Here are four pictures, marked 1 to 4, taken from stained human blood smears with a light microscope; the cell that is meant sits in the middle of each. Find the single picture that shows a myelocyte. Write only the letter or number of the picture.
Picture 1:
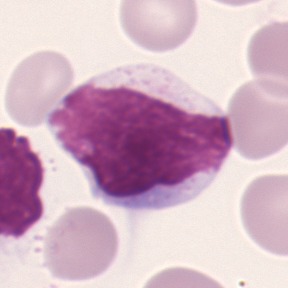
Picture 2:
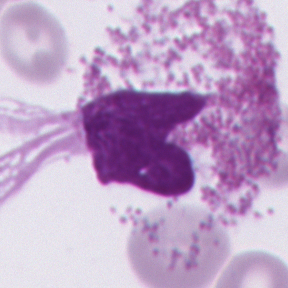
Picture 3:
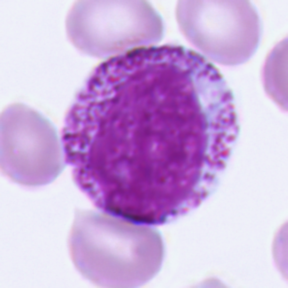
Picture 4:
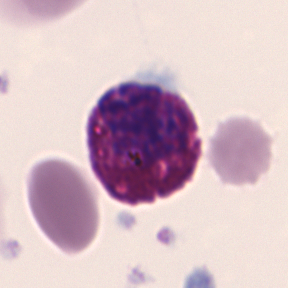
3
